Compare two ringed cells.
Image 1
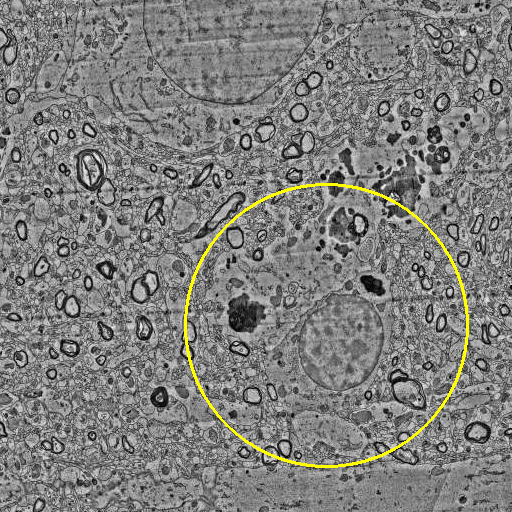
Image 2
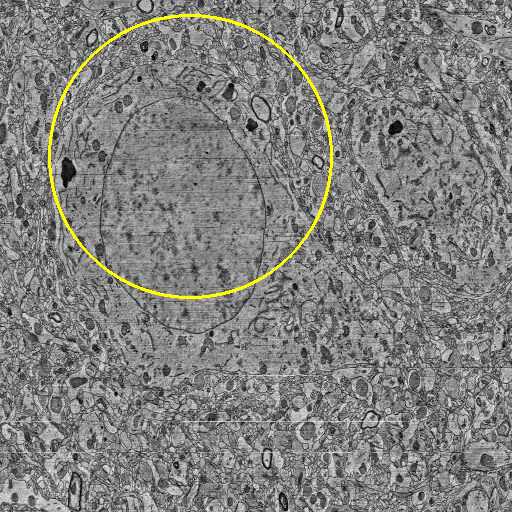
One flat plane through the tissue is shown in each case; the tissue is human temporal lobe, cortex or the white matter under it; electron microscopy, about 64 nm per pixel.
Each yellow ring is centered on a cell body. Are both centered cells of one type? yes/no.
no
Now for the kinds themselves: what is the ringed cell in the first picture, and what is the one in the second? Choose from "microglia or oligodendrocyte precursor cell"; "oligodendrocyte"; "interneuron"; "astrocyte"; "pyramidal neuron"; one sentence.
Here the first cell is an oligodendrocyte and the second cell is a pyramidal neuron.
